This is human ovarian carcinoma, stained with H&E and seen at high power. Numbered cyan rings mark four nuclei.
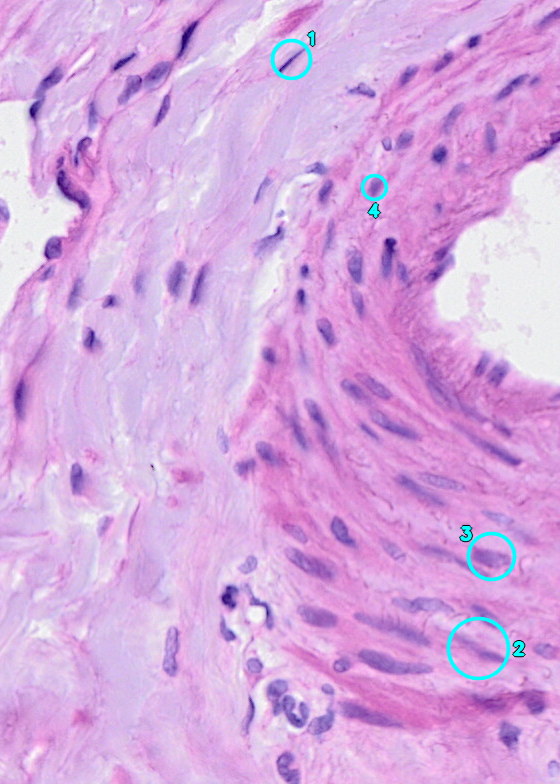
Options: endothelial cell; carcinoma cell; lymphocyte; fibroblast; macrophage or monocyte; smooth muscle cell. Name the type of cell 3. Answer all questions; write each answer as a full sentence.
Numbered cell 3 is a smooth muscle cell in this tissue section.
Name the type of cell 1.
The cell tagged with 1 in this tissue section is a fibroblast.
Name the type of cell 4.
The numbered cell 4 in this field is a smooth muscle cell.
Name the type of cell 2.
The cell carrying label 2 is identified as a smooth muscle cell.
